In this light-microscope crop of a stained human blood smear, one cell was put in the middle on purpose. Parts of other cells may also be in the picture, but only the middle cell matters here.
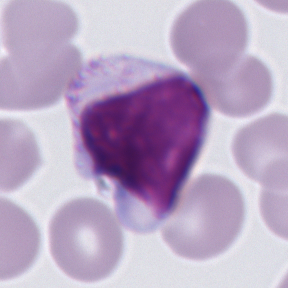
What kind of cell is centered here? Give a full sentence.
The cell centered in this field of view is a large granular lymphocyte.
